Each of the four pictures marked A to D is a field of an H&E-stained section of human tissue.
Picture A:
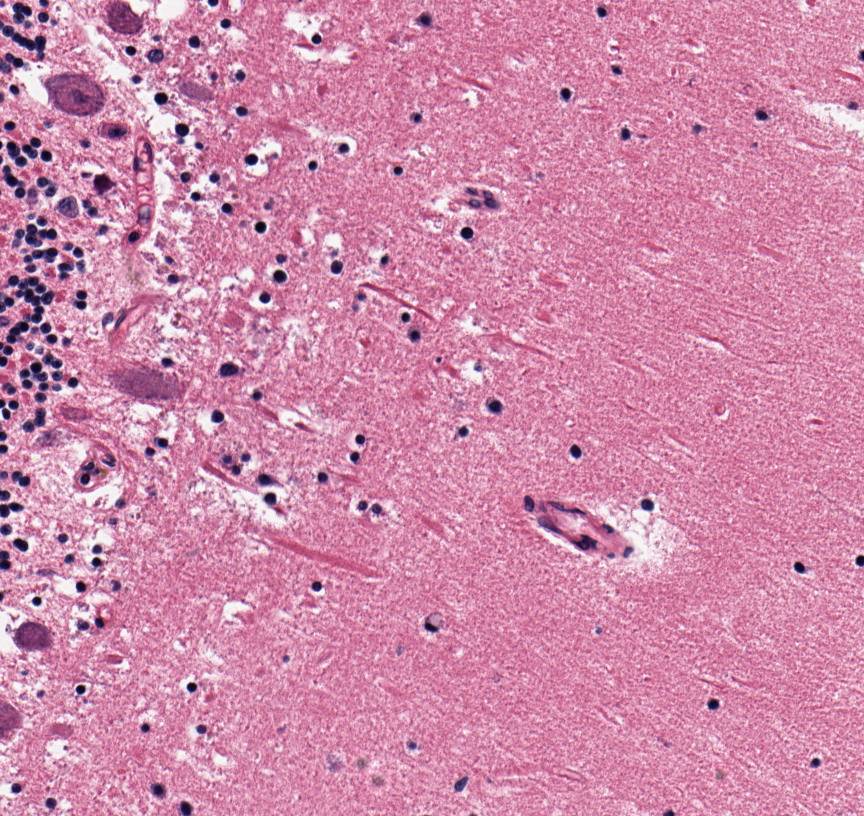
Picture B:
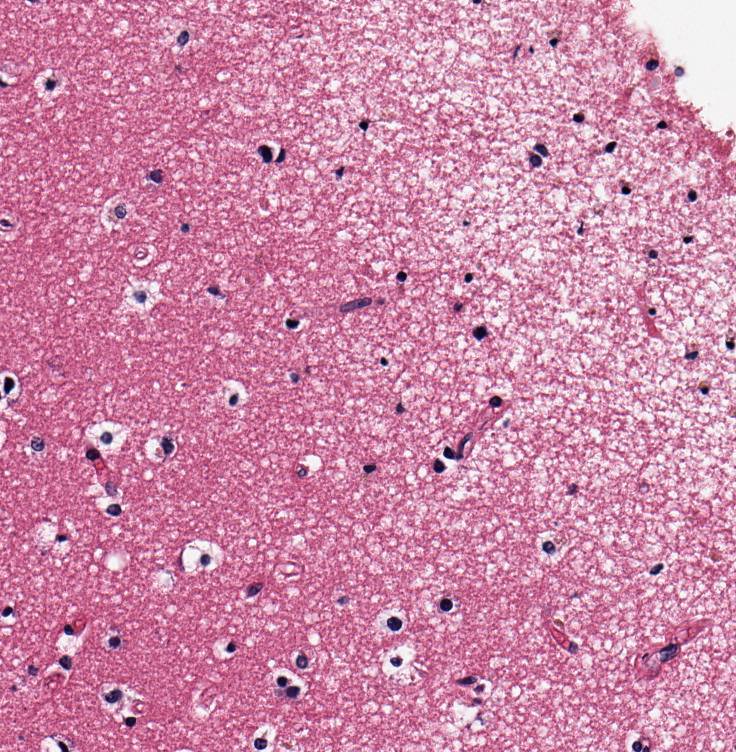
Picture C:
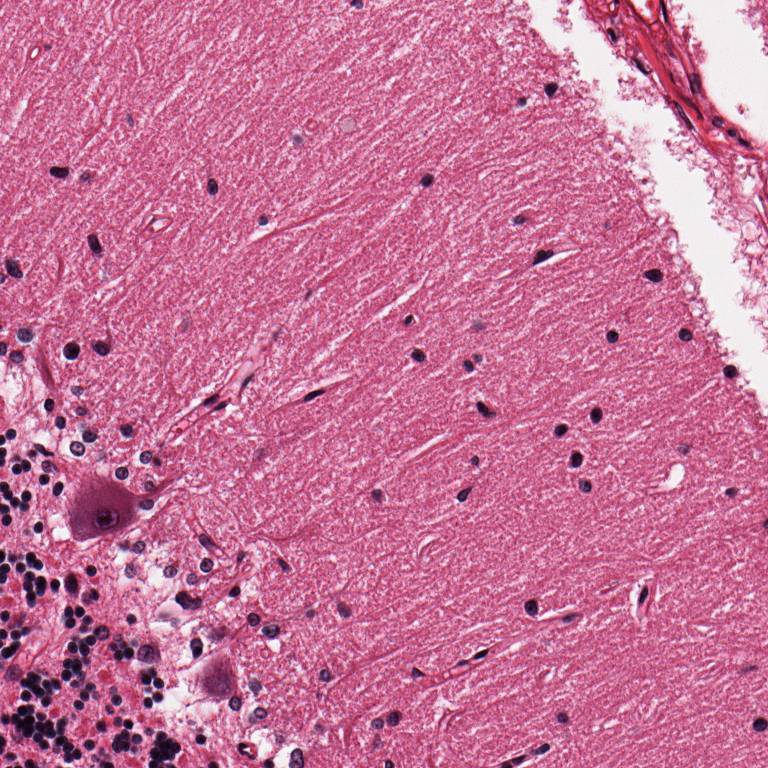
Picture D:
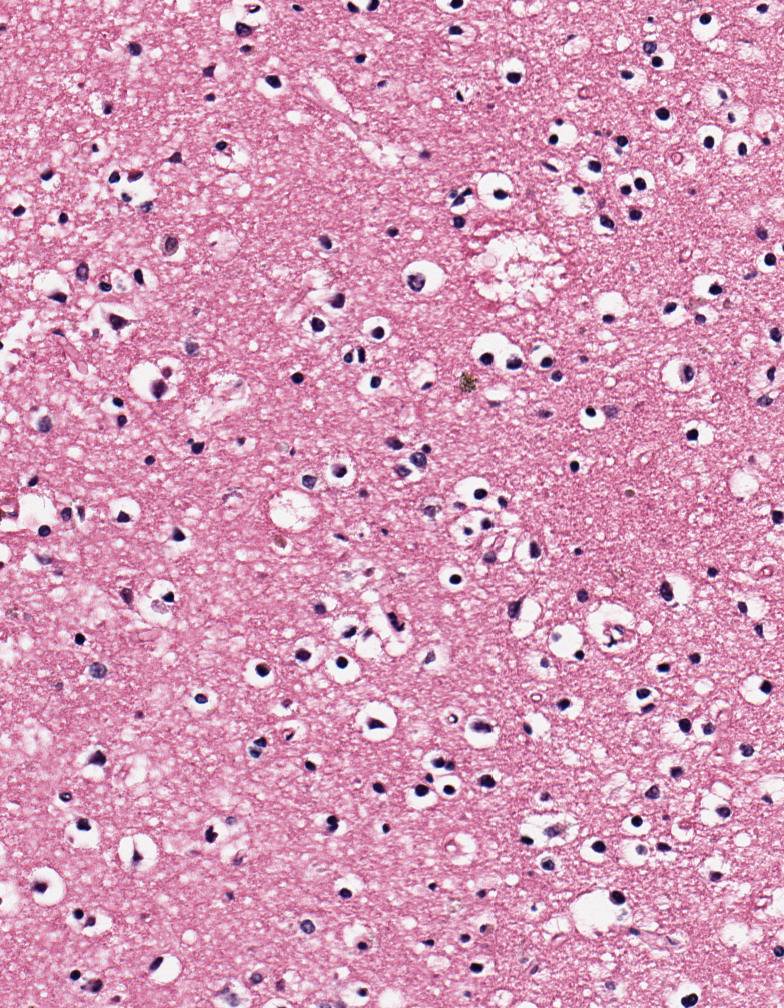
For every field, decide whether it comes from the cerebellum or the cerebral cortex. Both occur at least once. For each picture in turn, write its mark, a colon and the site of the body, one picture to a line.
A: cerebellum
B: cerebral cortex
C: cerebellum
D: cerebral cortex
